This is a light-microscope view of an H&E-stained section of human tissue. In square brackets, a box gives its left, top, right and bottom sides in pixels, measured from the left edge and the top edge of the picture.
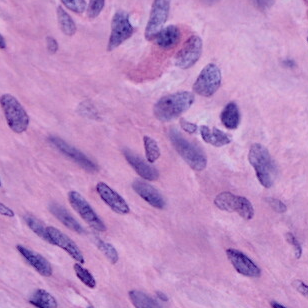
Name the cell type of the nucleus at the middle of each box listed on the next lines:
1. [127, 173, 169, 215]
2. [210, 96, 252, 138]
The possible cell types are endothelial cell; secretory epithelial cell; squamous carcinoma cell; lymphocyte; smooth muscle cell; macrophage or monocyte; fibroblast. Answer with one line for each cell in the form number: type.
1: fibroblast
2: lymphocyte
